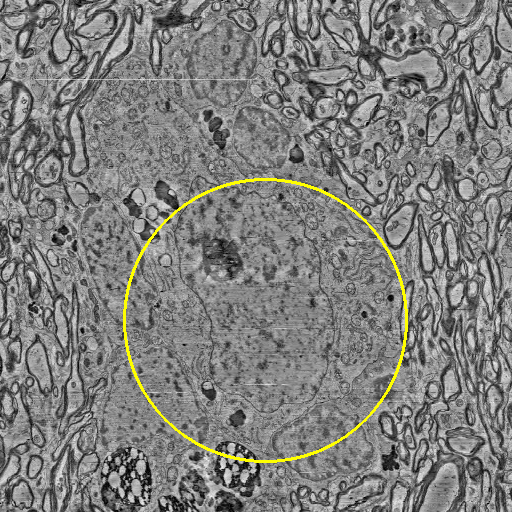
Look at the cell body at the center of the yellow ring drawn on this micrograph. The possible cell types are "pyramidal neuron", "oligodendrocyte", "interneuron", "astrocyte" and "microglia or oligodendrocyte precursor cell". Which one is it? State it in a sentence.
The cell in the middle of the ring is a pyramidal neuron.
